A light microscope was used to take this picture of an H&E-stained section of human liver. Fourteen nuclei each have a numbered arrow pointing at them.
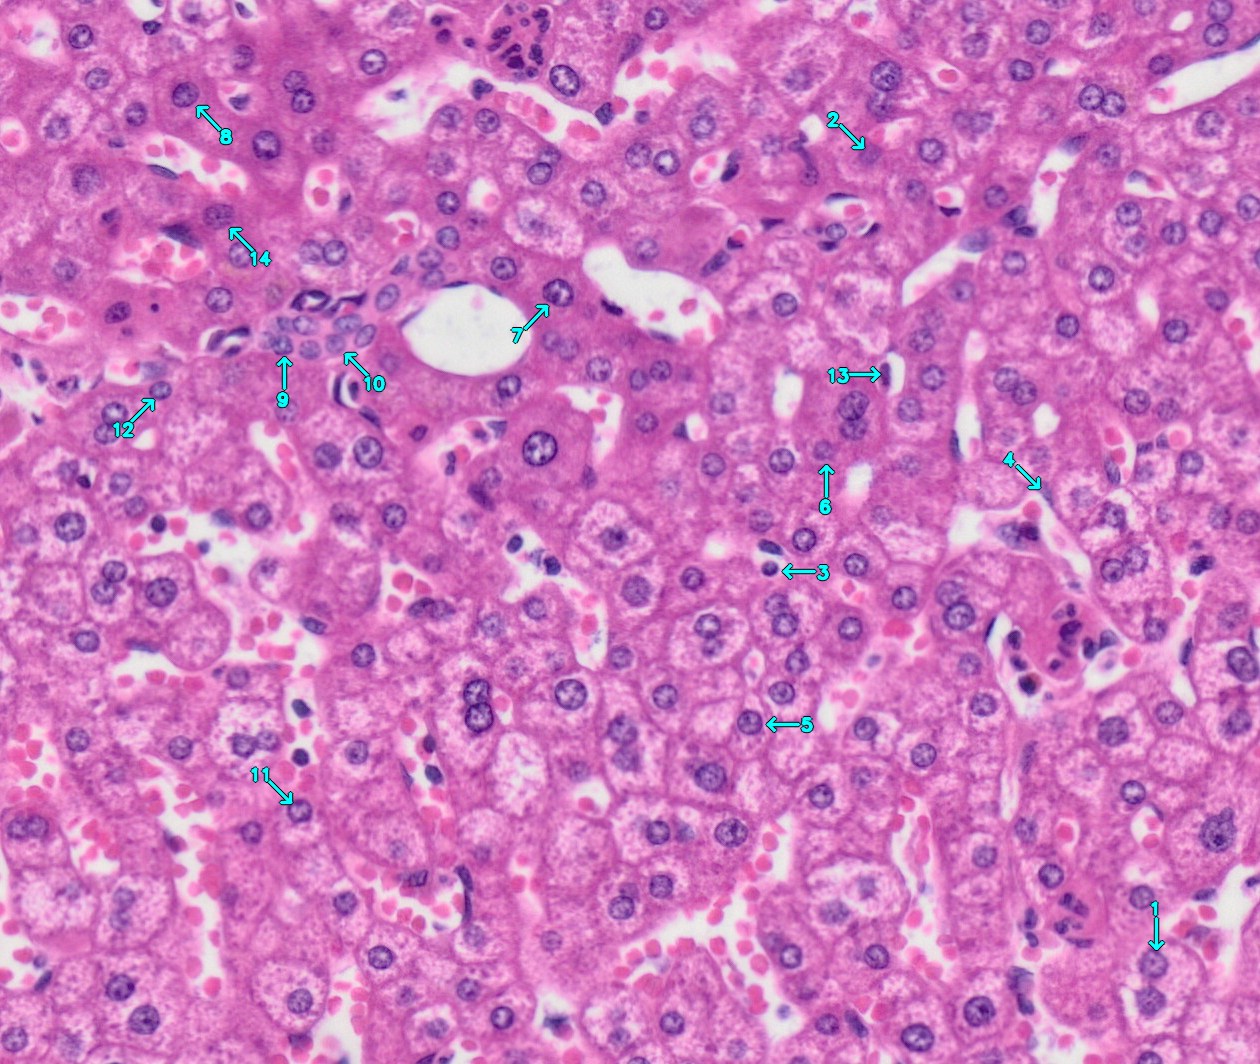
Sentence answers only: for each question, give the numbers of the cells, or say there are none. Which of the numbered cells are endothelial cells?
The cell labelled 4 is an endothelial cell, while the remaining numbered cells are not.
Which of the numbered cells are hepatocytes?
The cells whose numbers are 1, 2, 5, 6, 7, 8, 11 and 14 are hepatocytes.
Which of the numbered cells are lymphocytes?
Of the numbered nuclei, only the one labelled 3 belongs to a lymphocyte.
